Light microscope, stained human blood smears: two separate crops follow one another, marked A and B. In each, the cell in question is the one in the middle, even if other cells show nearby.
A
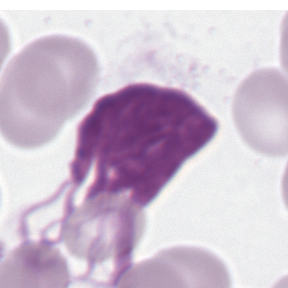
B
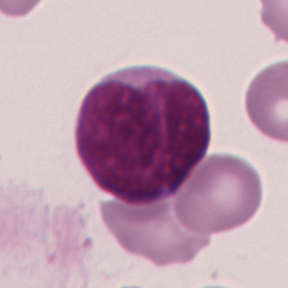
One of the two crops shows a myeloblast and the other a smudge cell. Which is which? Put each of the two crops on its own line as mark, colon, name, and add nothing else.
A: smudge cell
B: myeloblast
